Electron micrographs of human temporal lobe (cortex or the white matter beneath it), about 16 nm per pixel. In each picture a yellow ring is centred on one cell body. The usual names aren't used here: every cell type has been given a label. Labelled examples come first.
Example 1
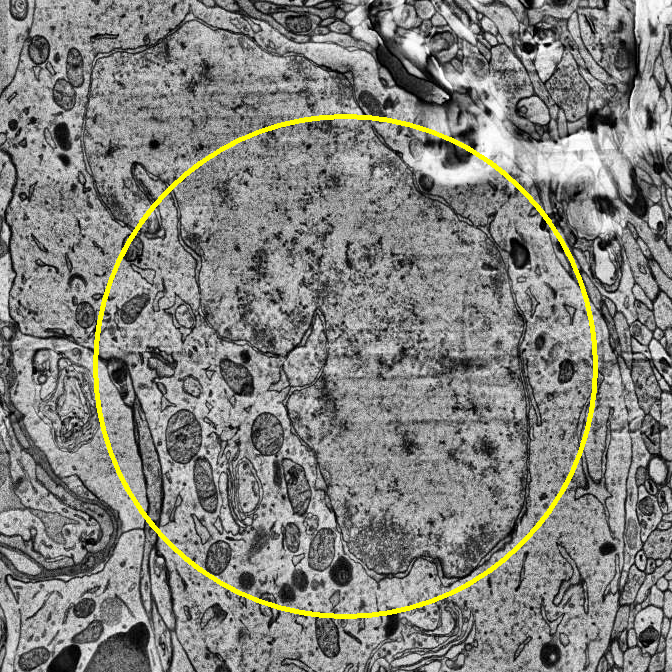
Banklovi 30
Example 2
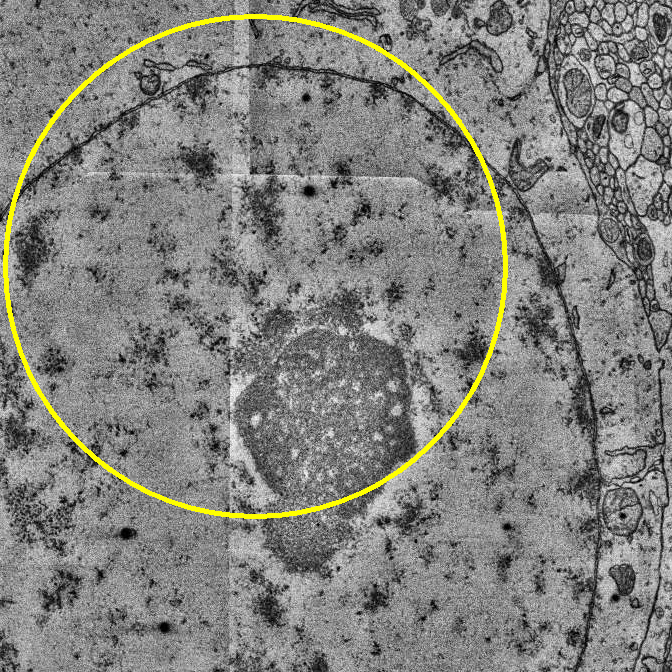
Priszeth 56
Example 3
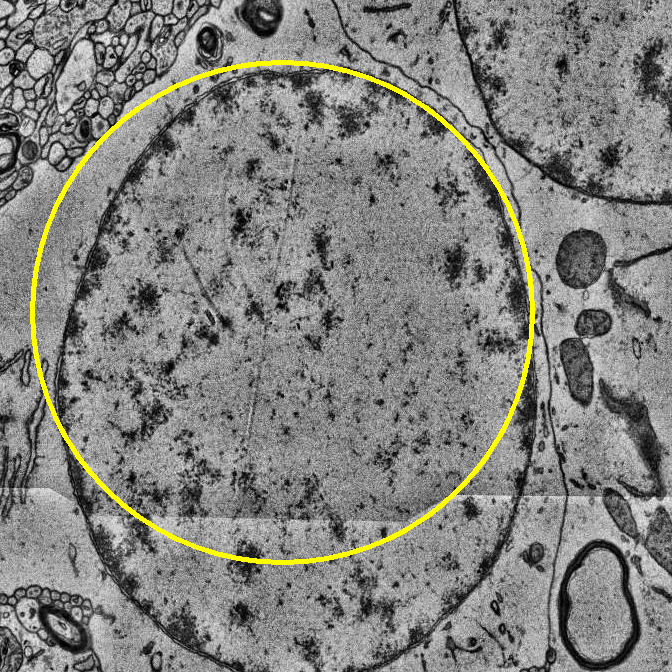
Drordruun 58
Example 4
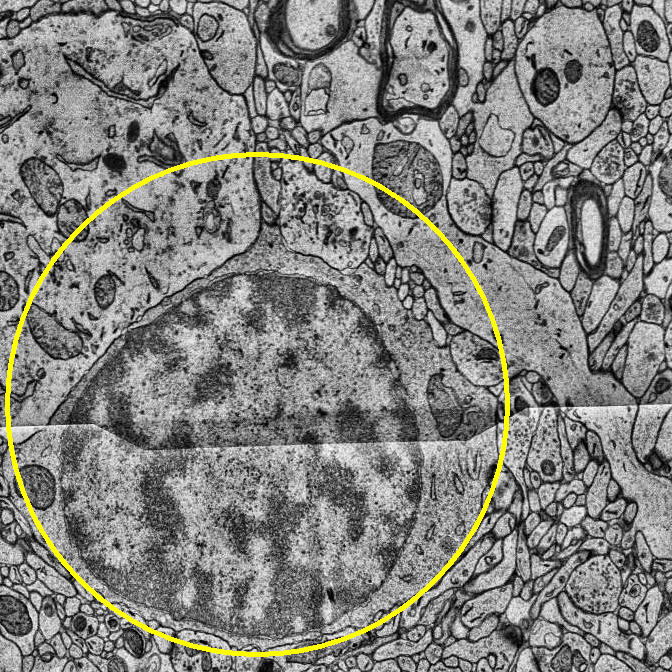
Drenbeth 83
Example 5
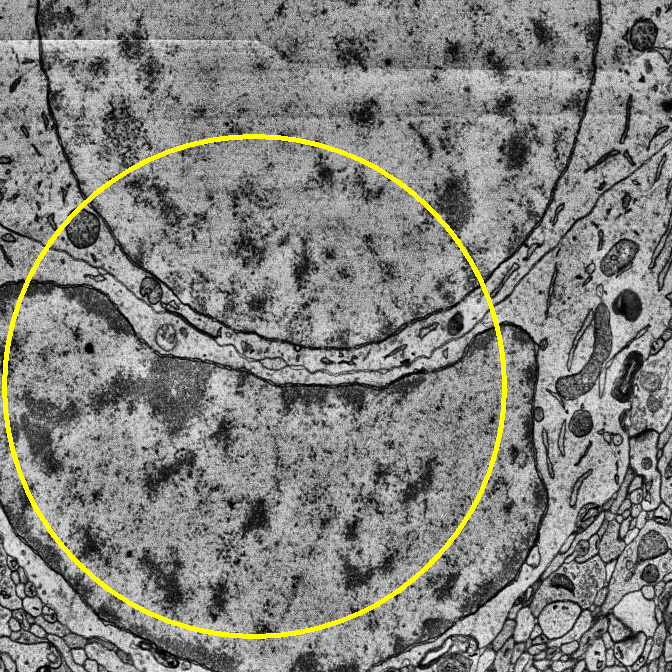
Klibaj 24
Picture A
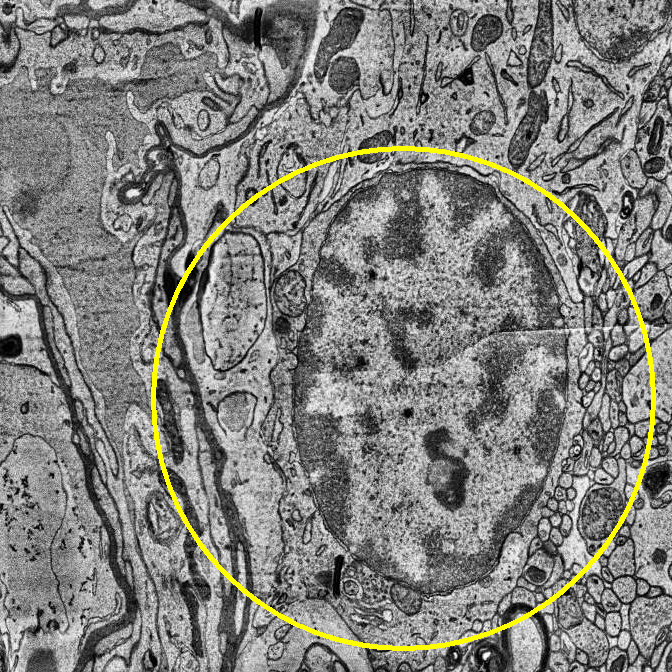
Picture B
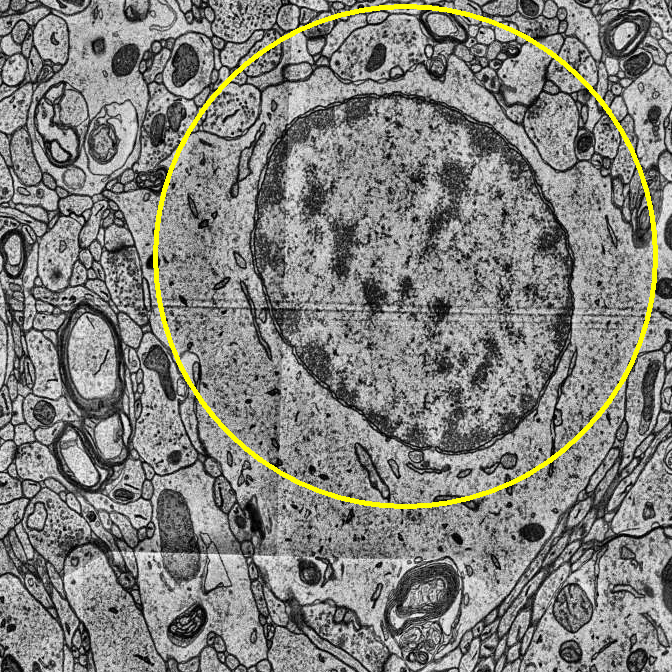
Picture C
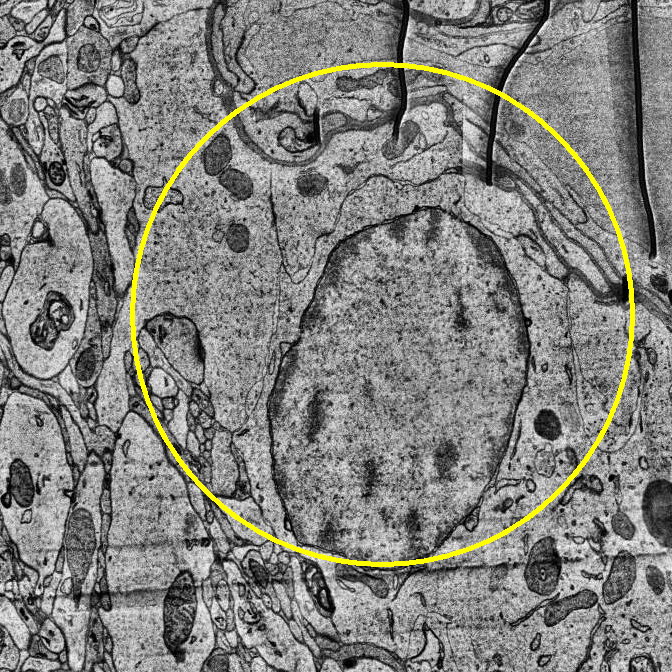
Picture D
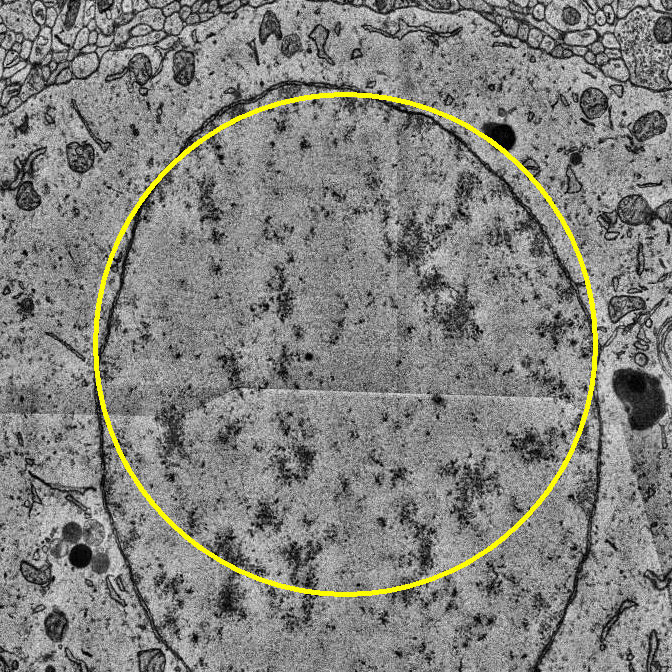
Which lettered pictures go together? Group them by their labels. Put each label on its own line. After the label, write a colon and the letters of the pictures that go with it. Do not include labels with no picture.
Priszeth 56: D
Drenbeth 83: A
Klibaj 24: B, C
